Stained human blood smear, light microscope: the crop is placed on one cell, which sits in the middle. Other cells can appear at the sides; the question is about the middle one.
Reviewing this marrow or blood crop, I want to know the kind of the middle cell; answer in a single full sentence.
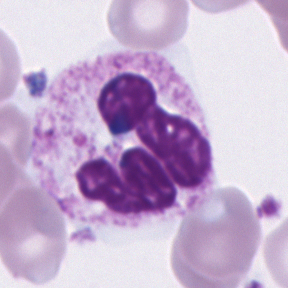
The central cell in this smear crop is a segmented neutrophil.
